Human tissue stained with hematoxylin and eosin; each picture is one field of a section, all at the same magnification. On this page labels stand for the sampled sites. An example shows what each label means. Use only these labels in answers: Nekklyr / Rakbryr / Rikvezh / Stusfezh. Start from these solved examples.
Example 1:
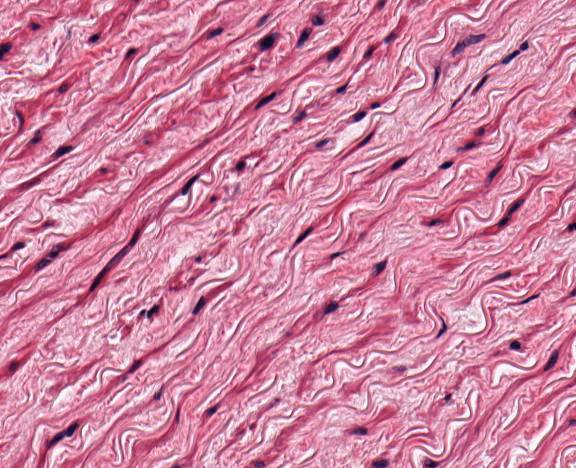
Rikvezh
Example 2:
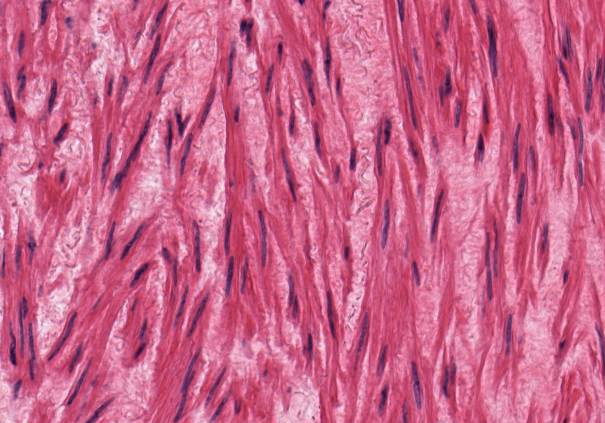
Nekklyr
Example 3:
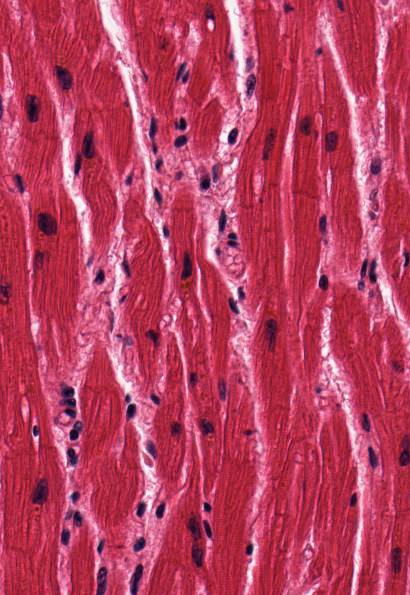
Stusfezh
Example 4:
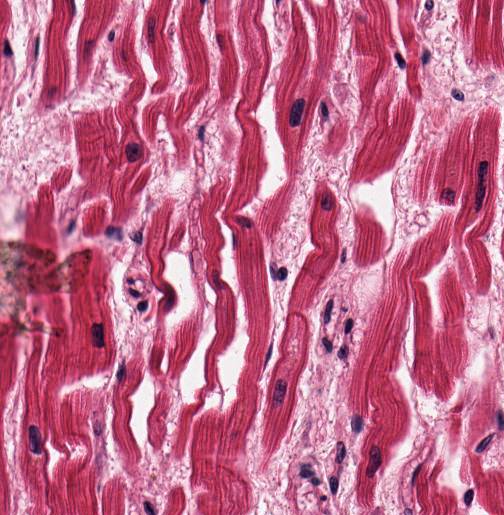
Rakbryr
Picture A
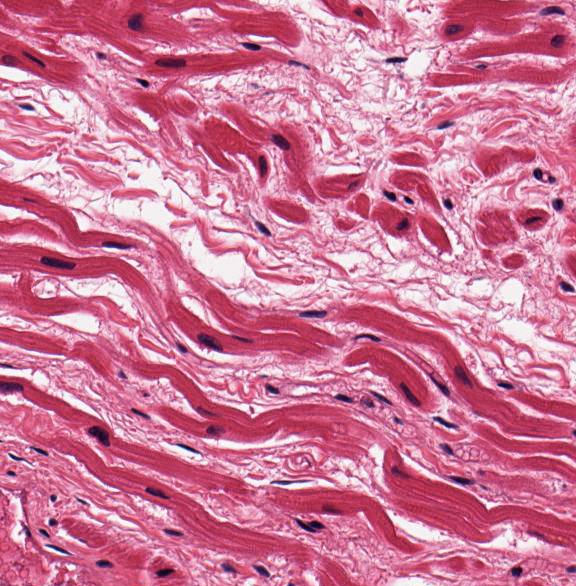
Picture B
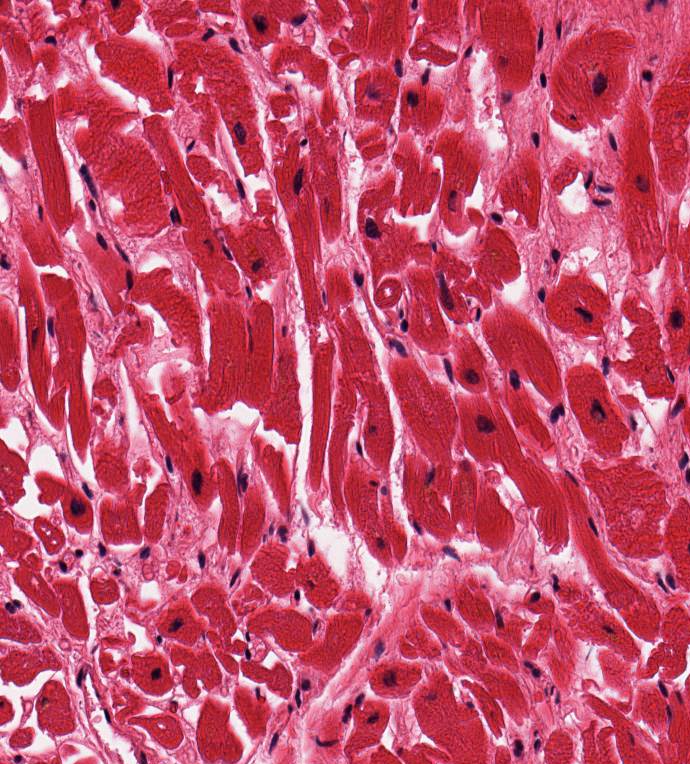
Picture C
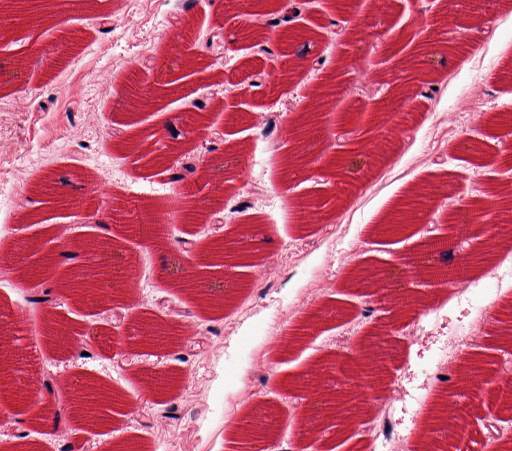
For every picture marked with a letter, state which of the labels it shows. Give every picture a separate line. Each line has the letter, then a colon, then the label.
A: Rakbryr
B: Stusfezh
C: Stusfezh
